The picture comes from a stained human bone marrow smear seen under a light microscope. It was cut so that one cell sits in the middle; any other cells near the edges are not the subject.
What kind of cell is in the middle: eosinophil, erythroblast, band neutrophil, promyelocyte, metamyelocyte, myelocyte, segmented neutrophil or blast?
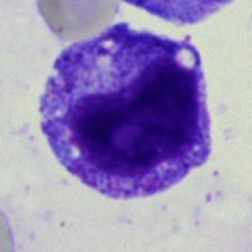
promyelocyte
